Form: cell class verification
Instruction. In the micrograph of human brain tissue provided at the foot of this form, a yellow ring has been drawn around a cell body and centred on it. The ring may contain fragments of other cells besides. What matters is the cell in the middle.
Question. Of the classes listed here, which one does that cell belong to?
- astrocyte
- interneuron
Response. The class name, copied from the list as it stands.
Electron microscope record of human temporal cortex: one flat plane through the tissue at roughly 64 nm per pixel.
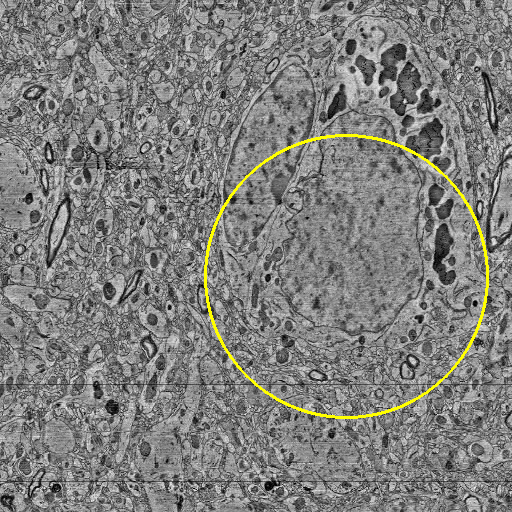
interneuron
